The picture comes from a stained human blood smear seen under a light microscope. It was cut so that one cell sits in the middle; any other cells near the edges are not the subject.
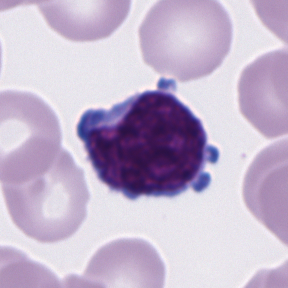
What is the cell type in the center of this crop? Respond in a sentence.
The cell in the middle of this crop is a typical lymphocyte.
